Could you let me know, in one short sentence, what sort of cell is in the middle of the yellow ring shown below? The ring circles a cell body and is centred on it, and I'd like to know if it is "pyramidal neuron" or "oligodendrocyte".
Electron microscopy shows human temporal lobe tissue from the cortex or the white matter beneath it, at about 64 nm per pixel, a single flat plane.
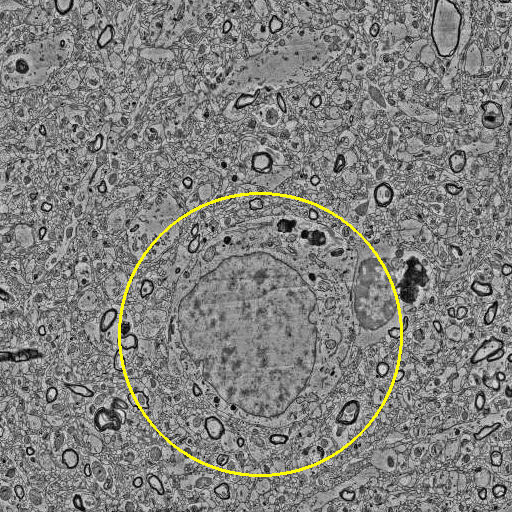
The ring circles the cell body of a pyramidal neuron.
